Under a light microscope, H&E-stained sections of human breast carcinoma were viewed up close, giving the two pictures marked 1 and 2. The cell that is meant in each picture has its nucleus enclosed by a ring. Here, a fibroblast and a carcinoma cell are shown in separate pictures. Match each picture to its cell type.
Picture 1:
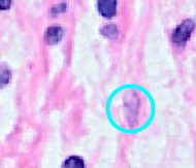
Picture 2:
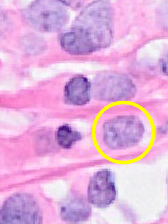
1: fibroblast
2: carcinoma cell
